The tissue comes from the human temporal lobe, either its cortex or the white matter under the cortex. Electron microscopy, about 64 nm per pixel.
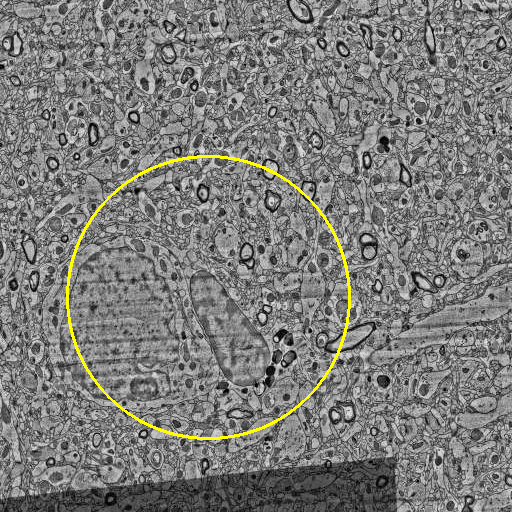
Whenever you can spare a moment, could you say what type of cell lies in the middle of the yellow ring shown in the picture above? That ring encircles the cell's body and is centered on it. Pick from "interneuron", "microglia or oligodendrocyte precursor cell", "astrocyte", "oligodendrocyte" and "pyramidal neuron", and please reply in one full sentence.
The cell whose body sits at the middle of the yellow ring is a microglial cell or oligodendrocyte precursor cell.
